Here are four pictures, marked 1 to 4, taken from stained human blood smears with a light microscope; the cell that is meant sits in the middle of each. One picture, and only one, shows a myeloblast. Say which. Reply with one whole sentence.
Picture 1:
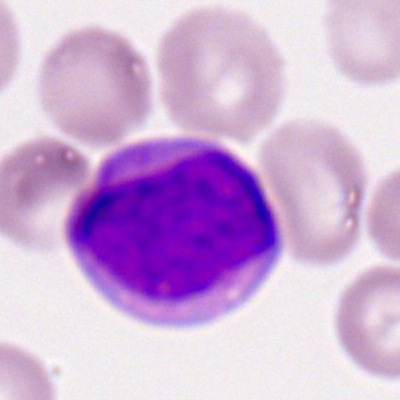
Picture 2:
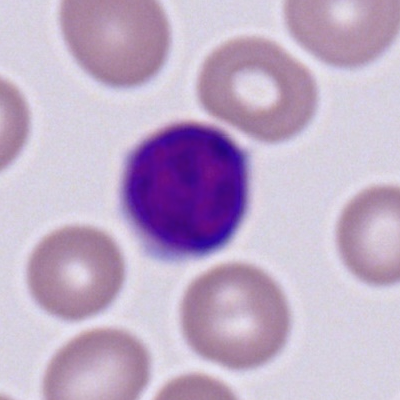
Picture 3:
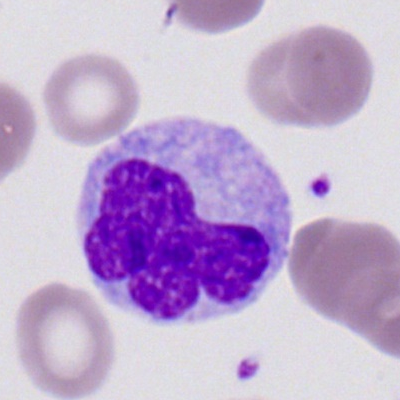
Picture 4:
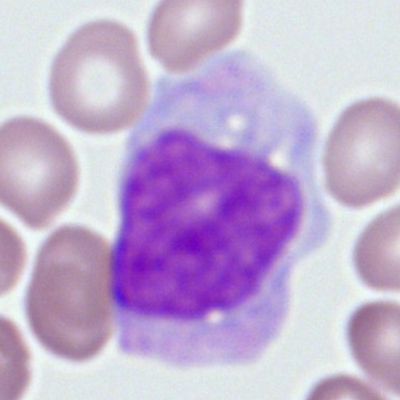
The myeloblast is the one in picture 1.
